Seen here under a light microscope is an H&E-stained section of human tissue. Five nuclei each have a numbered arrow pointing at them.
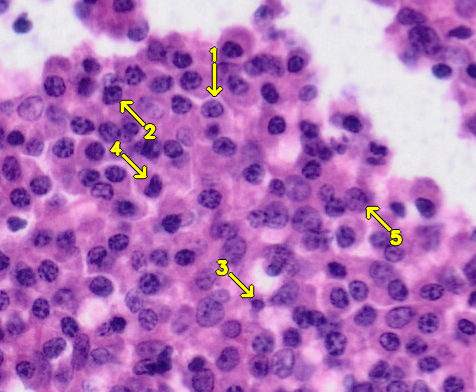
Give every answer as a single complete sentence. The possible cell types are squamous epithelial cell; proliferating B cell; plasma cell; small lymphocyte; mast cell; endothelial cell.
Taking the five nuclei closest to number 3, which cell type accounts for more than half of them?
Around number 3, most of the five nearest nuclei are those of squamous epithelial cells.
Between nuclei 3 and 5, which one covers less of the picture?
It is nucleus 3; nucleus 5 has about 2.5 times its area.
